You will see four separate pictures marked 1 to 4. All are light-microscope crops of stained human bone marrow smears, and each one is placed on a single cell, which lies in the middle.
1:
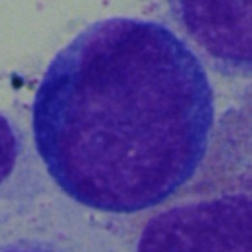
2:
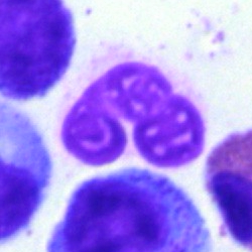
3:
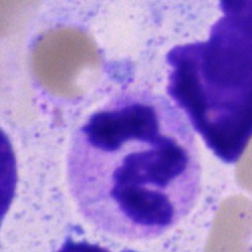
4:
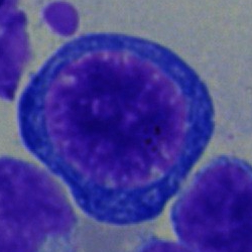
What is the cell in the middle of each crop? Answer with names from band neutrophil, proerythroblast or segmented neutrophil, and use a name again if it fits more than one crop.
1: proerythroblast
2: band neutrophil
3: segmented neutrophil
4: proerythroblast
